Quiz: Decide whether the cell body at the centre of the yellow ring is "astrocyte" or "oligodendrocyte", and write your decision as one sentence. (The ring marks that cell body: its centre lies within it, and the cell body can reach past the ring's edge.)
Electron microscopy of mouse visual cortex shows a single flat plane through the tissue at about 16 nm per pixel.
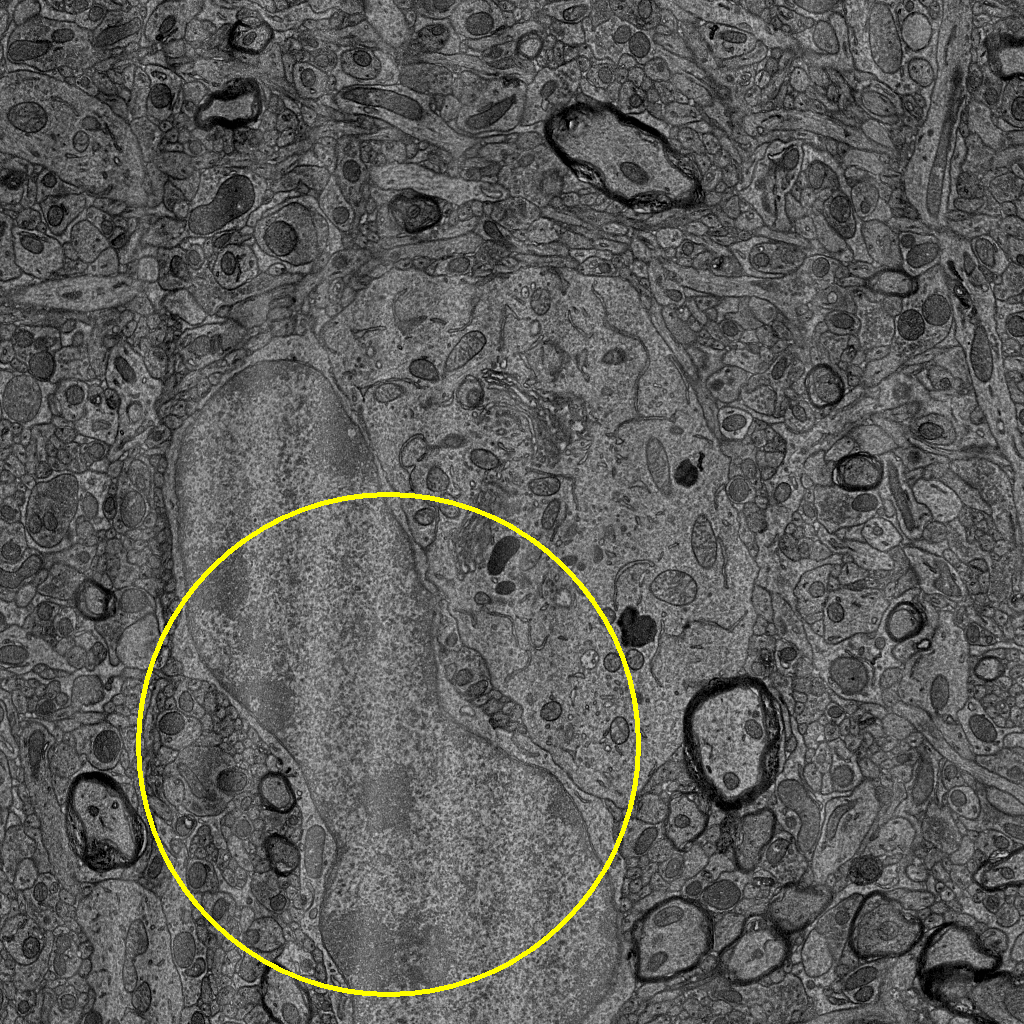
The cell holding the ring's centre is an oligodendrocyte.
